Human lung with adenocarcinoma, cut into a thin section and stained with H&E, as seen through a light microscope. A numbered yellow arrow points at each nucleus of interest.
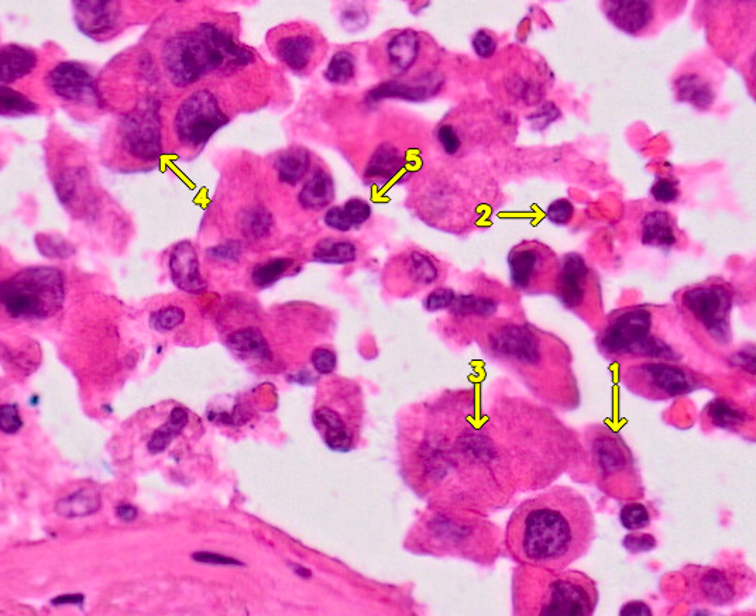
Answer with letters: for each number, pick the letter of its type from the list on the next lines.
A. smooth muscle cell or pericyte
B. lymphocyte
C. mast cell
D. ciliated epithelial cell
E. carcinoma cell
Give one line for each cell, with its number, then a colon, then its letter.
1: E
2: B
3: E
4: E
5: B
